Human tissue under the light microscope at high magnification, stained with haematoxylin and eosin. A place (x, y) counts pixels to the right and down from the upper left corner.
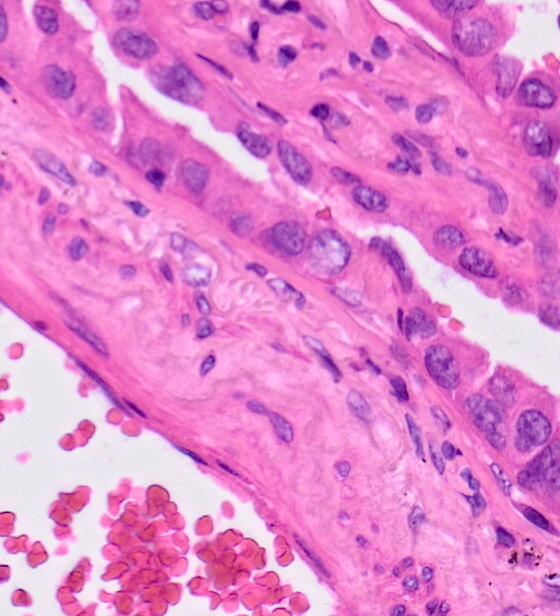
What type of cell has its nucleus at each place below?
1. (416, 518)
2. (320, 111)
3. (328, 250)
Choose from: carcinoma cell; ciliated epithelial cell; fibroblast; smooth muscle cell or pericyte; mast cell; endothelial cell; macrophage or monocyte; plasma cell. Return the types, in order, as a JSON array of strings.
["fibroblast", "plasma cell", "carcinoma cell"]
